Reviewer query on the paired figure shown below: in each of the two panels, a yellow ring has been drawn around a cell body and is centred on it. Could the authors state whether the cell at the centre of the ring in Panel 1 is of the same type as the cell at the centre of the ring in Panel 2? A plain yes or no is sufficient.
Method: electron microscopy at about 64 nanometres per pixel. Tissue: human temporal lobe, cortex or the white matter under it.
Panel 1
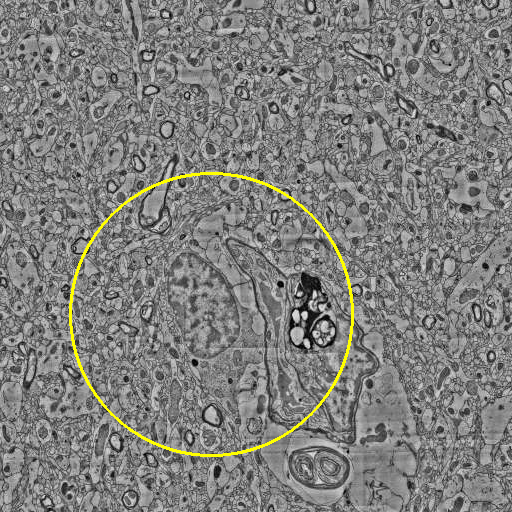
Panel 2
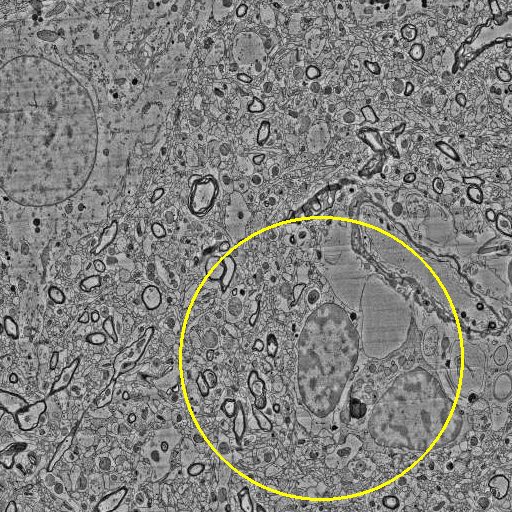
no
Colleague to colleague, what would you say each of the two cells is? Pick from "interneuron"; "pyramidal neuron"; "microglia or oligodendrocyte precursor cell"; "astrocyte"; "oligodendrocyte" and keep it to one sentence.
The cell in the first picture is an oligodendrocyte; the second picture's cell is a microglial cell or oligodendrocyte precursor cell.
